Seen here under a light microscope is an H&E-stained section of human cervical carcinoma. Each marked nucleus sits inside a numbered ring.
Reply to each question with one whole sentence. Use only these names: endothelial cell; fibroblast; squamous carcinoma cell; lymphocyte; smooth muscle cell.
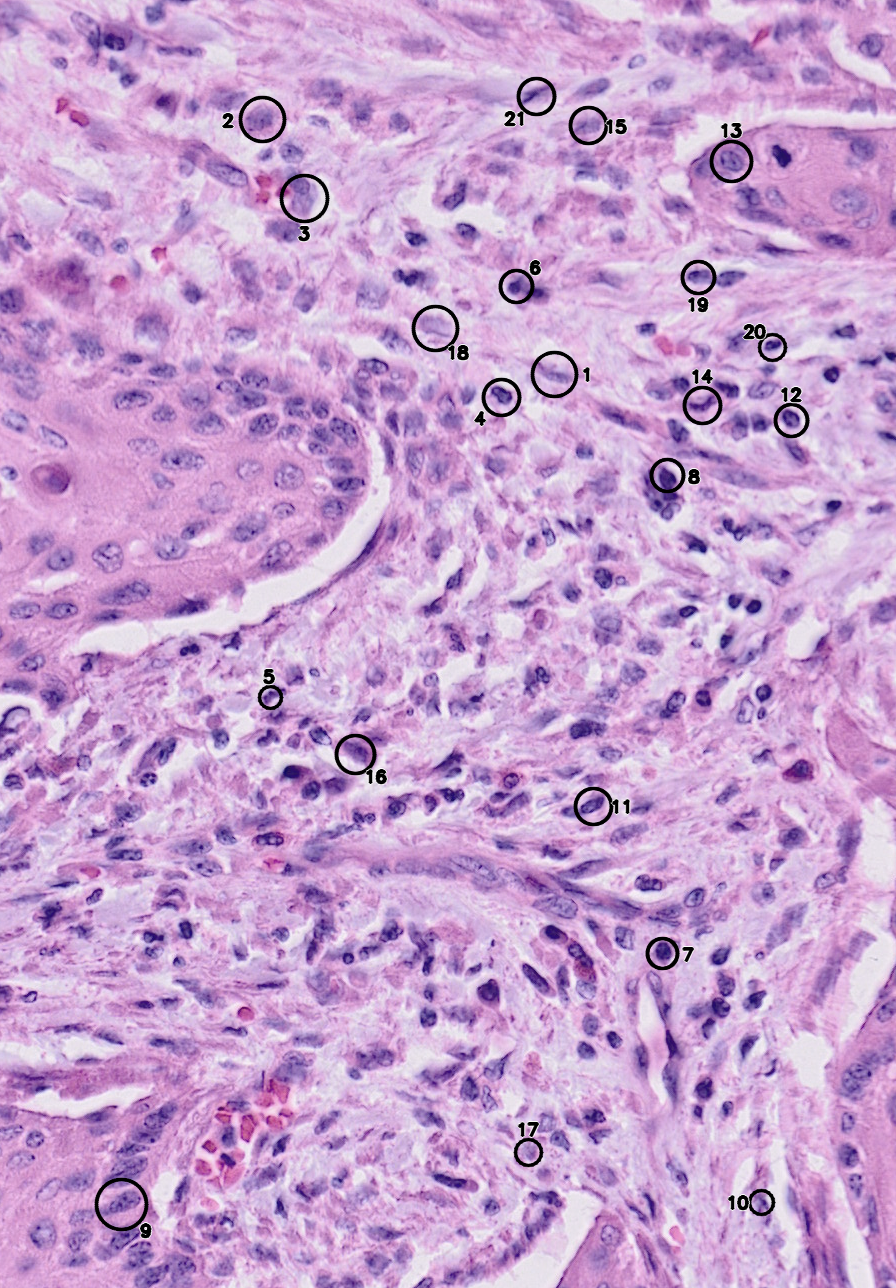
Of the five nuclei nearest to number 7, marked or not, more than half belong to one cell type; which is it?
Of the five nuclei nearest to number 7, most belong to endothelial cells.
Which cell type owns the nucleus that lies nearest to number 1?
Closest to number 1 lies the nucleus of a lymphocyte.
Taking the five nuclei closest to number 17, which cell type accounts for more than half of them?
Most of the five nuclei nearest to number 17 are those of fibroblasts.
